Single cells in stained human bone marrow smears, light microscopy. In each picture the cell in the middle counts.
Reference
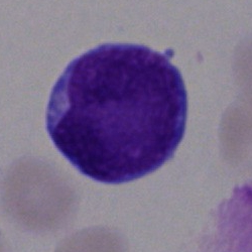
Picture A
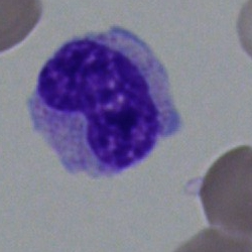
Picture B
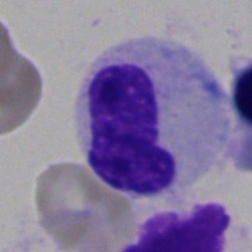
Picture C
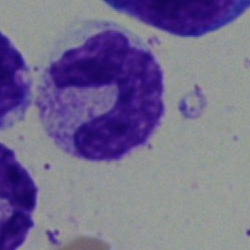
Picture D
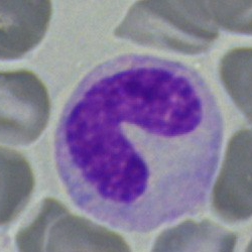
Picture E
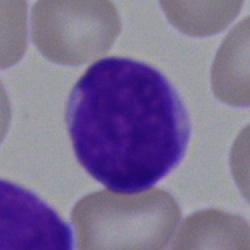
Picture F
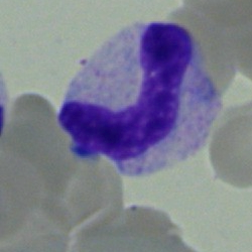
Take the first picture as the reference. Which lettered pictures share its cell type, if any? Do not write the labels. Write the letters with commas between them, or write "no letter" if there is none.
E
